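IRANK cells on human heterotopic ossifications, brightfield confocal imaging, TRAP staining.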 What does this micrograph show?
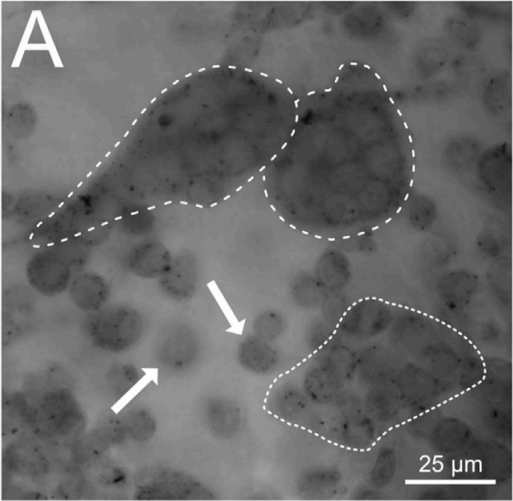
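Osteoclast-lineage cells on a pale substrate, with single small round pre-osteoclasts lying scattered and separate. Large multinucleated osteoclasts form broad grey cell bodies containing several rounded nuclear profiles, and their cytoplasm is stained diffusely grey with scattered dark dots. Elsewhere, a cluster of round cells is pressed closely together.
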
